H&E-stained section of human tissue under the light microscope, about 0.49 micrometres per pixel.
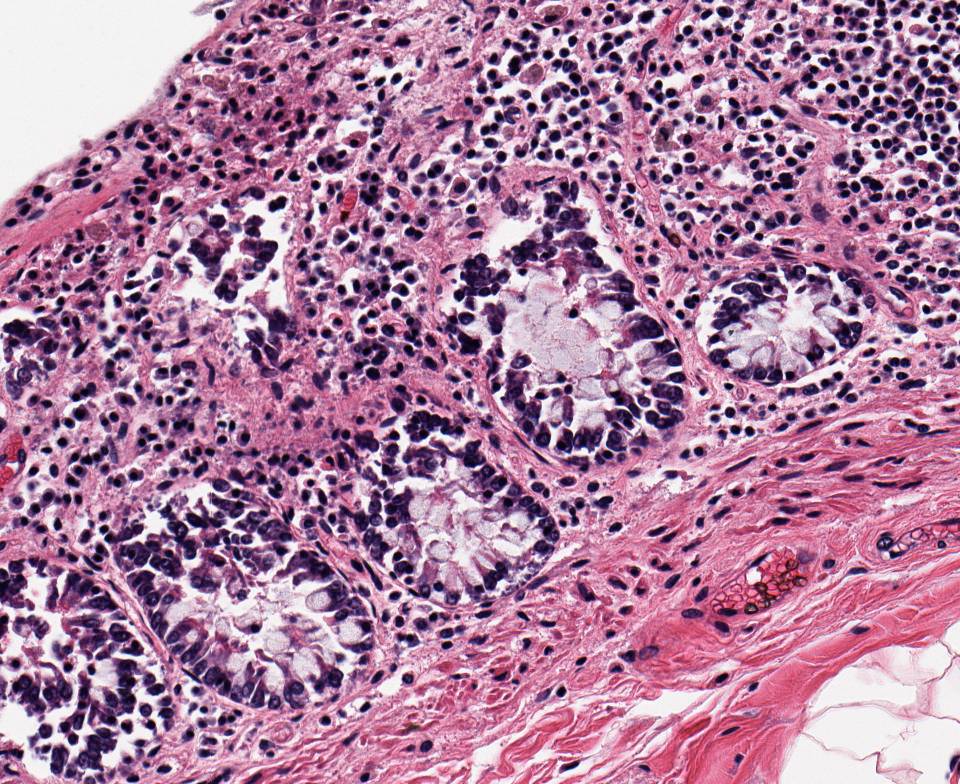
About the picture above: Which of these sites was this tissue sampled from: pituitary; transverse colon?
transverse colon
